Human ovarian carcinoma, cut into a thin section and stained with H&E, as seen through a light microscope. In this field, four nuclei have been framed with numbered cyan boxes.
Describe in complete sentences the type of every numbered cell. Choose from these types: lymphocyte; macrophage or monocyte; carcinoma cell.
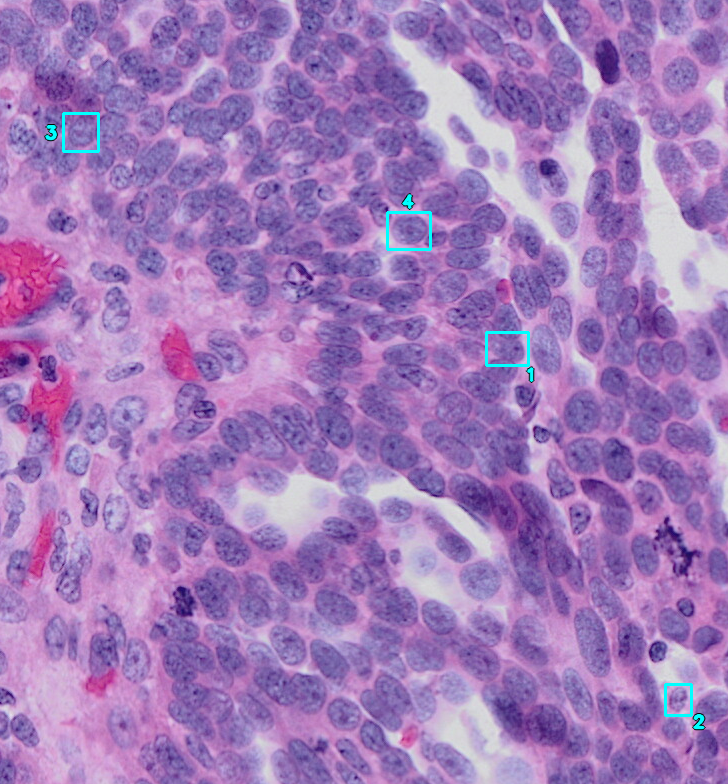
Cells 1, 3 and 4 are carcinoma cells. Cell 2 is a macrophage or monocyte.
